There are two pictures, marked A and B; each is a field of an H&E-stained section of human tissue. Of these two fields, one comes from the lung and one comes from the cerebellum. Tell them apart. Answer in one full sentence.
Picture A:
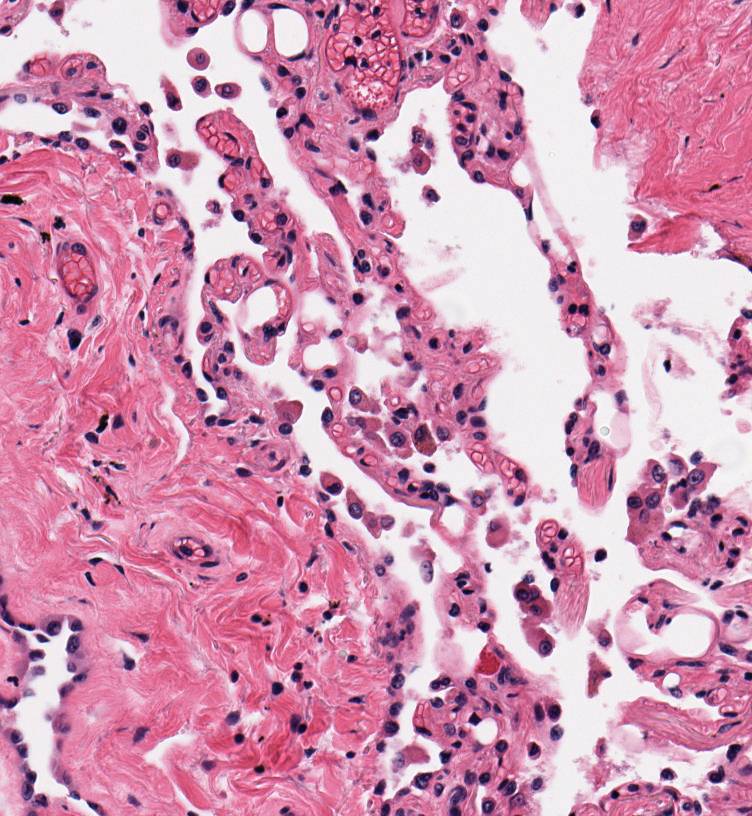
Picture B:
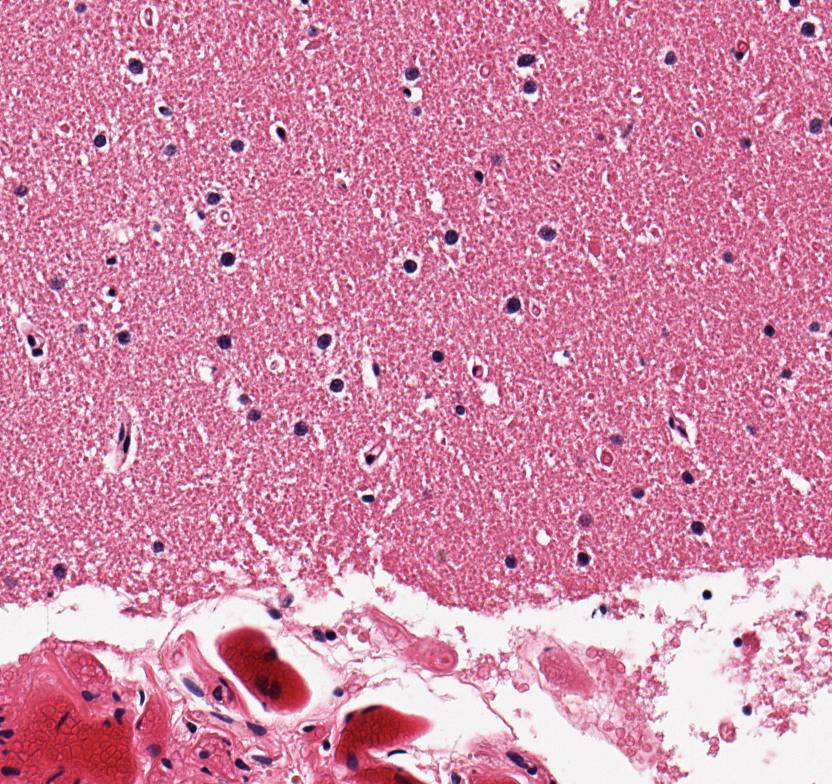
Picture B comes from the cerebellum, while picture A comes from the lung.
